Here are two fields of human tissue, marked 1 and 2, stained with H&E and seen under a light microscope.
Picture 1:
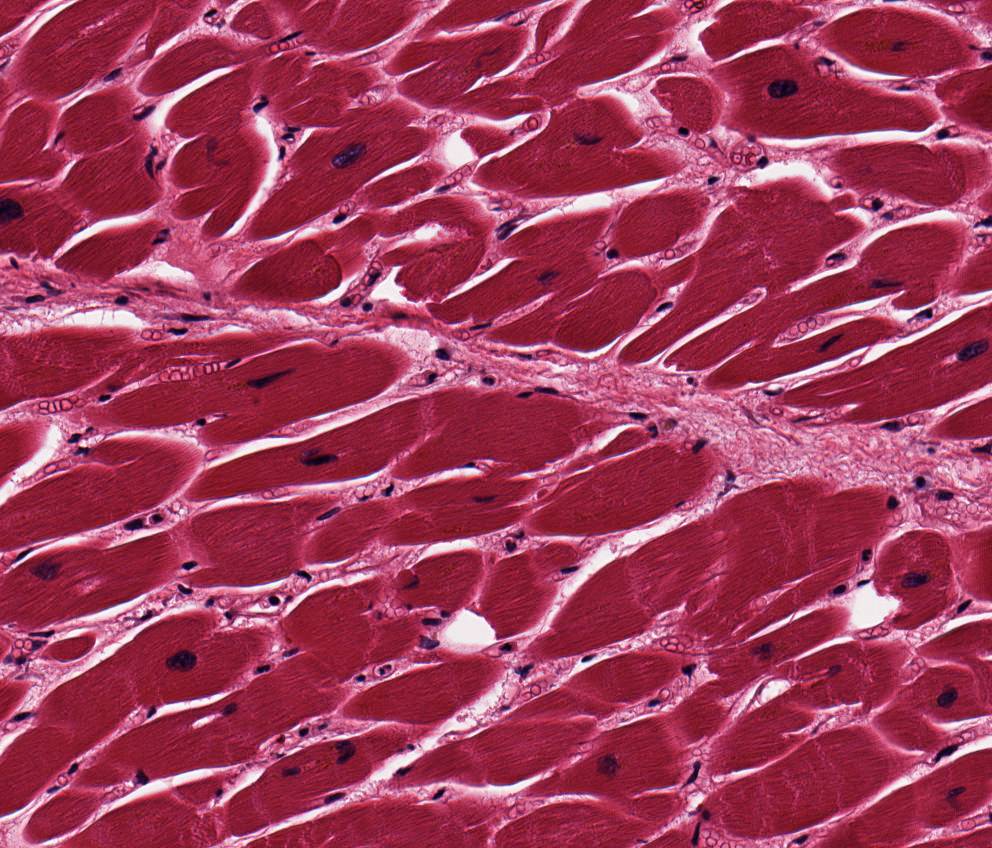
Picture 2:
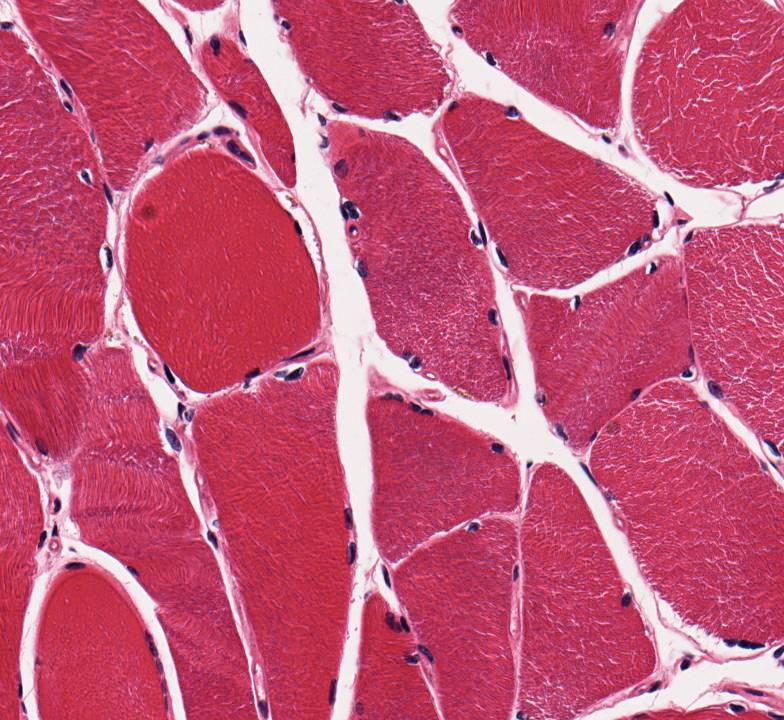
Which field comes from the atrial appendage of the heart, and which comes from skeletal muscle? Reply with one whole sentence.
It is picture 1 that comes from the atrial appendage of the heart, and picture 2 that comes from skeletal muscle.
